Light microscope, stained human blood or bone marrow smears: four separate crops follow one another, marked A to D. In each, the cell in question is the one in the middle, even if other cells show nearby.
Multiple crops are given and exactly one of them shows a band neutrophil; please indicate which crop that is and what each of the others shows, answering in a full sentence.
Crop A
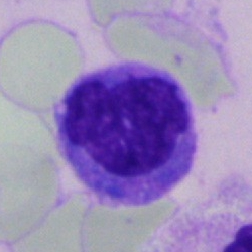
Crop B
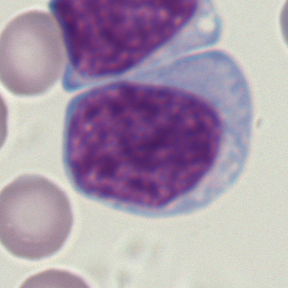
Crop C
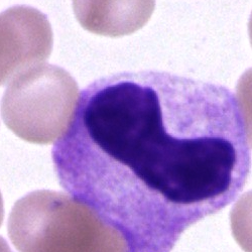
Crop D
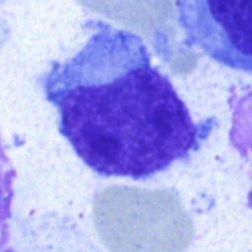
Crop C displays a band neutrophil, whereas crop A is a monocyte, crop B is a blast and crop D is a hairy cell.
